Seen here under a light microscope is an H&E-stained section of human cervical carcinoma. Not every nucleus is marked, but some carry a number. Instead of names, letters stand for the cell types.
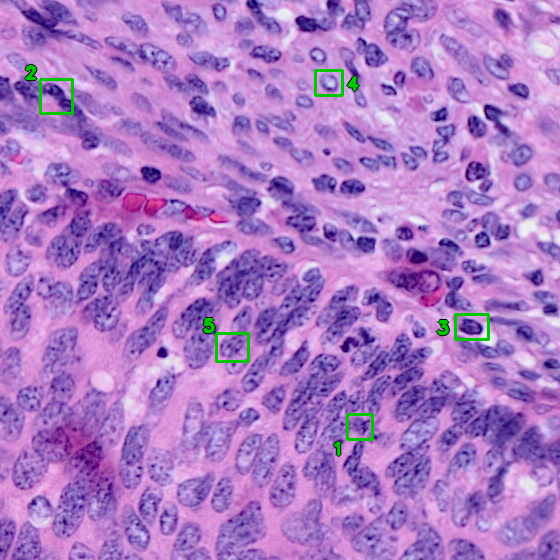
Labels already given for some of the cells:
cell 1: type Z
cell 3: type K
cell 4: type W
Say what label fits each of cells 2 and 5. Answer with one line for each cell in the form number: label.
2: type K
5: type Z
